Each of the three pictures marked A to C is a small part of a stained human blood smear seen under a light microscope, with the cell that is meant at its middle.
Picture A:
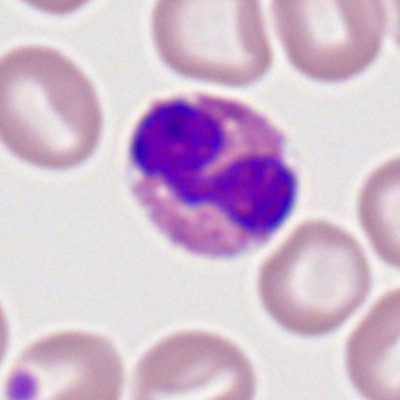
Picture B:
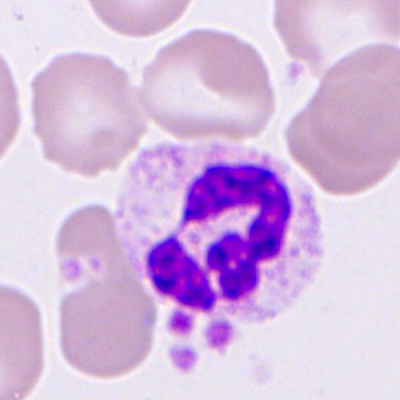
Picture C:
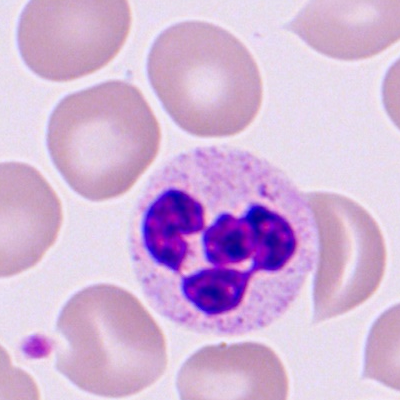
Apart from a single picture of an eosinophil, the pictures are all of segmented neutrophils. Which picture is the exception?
A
